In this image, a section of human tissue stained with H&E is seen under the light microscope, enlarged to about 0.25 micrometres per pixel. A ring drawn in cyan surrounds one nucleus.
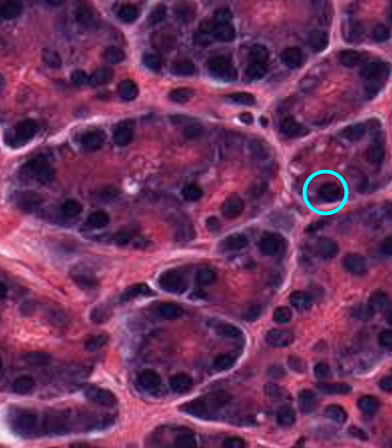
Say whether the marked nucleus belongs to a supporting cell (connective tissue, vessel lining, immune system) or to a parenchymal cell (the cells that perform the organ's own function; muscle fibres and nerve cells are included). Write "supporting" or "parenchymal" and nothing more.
parenchymal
